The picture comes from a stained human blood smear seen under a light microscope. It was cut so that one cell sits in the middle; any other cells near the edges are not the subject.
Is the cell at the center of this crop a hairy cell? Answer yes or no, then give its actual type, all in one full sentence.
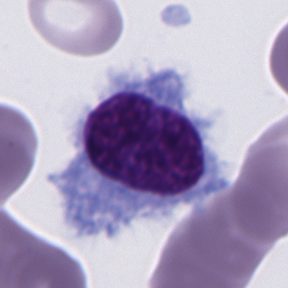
Yes, the cell at the heart of the crop is a hairy cell.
